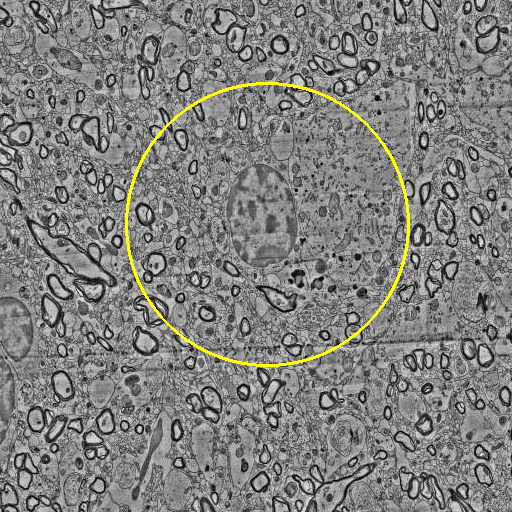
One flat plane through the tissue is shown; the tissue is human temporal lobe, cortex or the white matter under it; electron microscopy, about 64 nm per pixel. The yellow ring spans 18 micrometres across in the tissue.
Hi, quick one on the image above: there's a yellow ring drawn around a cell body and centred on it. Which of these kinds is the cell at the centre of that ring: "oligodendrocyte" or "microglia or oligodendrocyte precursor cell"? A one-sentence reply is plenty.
The cell at the centre of the ring is a microglial cell or oligodendrocyte precursor cell.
